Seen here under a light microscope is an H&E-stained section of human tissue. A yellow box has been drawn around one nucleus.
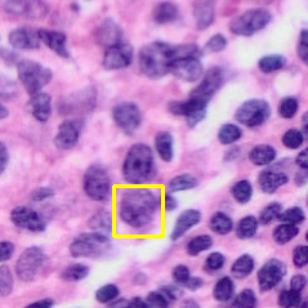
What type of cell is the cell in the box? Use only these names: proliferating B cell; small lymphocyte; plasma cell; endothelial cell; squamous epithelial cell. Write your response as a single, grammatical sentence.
Assigned to a cell type, the cell in the box is a proliferating B cell.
